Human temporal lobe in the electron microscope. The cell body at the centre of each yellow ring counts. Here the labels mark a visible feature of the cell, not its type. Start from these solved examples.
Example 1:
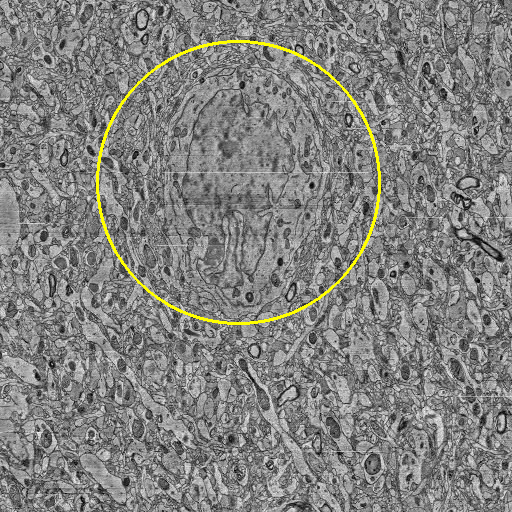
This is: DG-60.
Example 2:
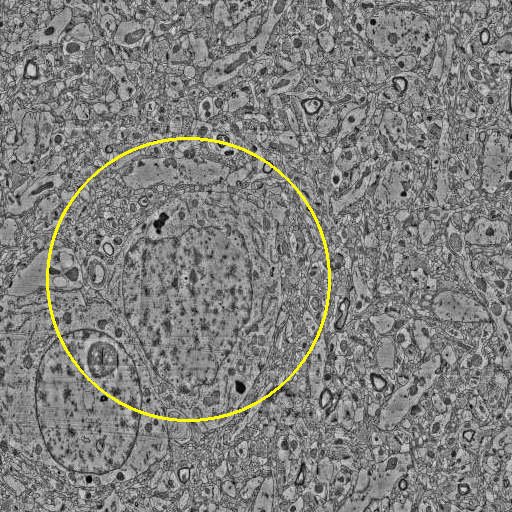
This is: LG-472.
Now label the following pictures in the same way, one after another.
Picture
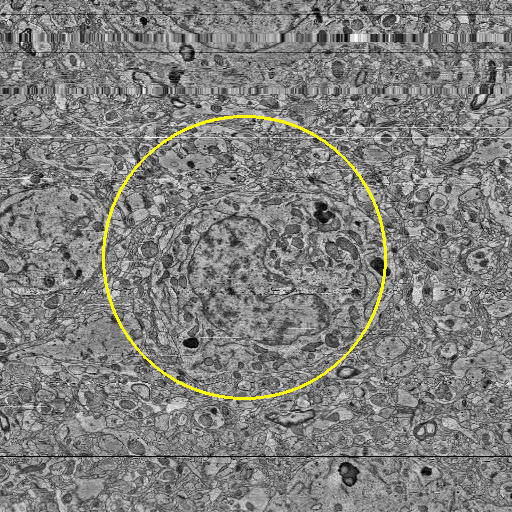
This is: DG-60.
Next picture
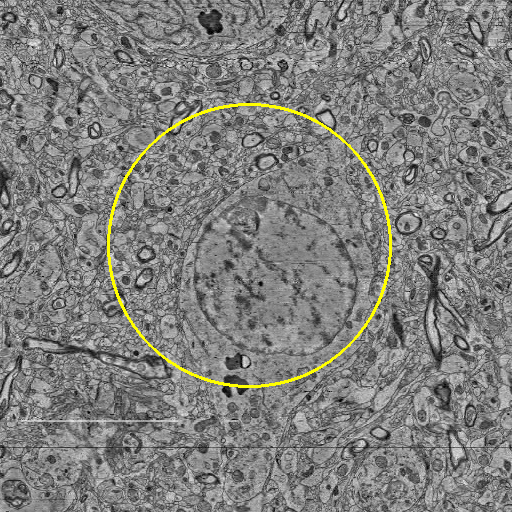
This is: LG-472.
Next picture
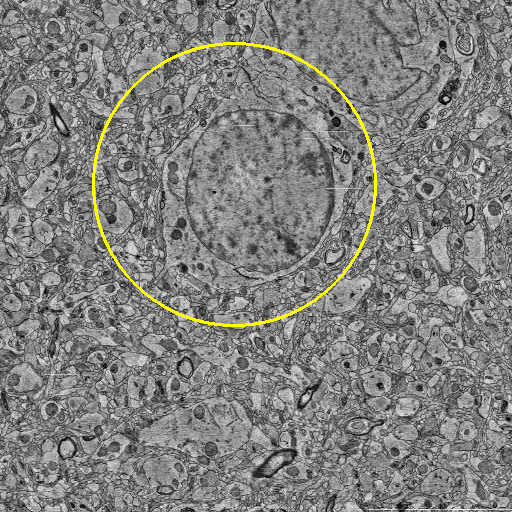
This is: LG-472.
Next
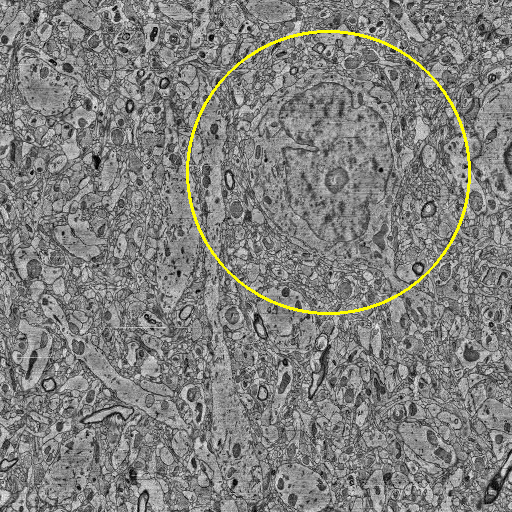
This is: DG-60.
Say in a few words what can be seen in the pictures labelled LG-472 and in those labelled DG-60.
LG-472: smooth nuclear envelopes without deep folds; DG-60: deeply folded or indented nuclear envelopes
